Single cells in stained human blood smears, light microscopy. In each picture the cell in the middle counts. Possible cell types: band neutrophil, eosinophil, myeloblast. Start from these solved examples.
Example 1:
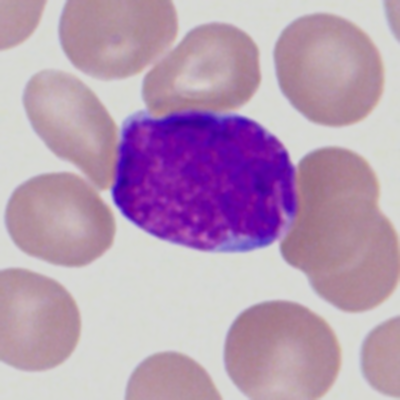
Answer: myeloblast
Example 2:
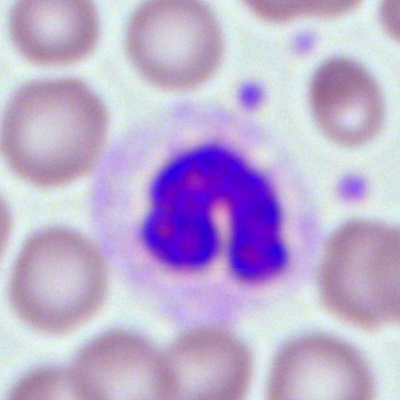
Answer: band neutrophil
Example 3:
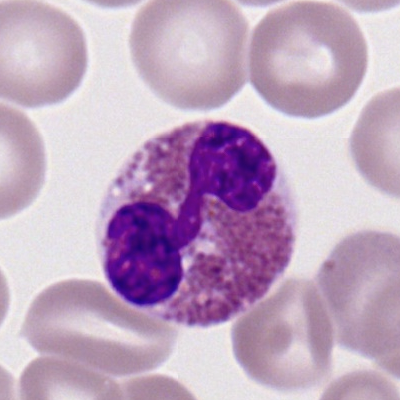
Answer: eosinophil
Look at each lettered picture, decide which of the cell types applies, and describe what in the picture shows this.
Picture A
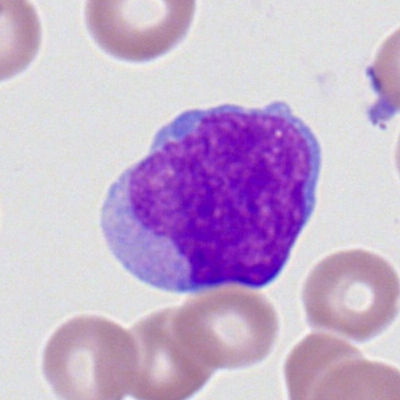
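myeloblast. The nucleus is a single unlobed mass that fills most of the cell.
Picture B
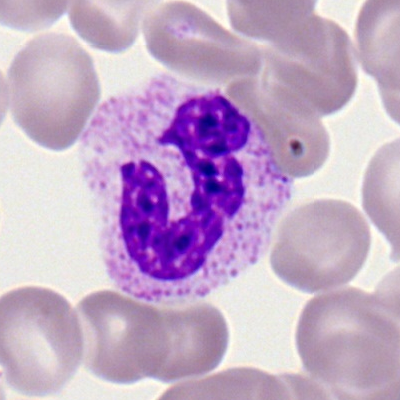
band neutrophil. The nucleus is a single thick curved band bent into a hook shape.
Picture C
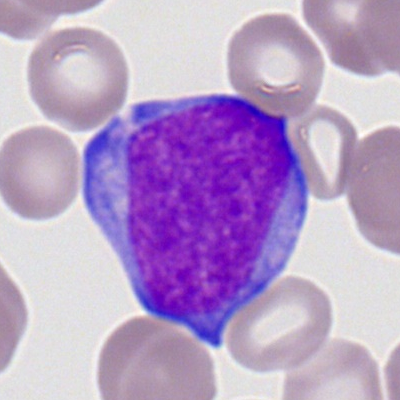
myeloblast. The nucleus is a single unlobed mass filling most of the cell.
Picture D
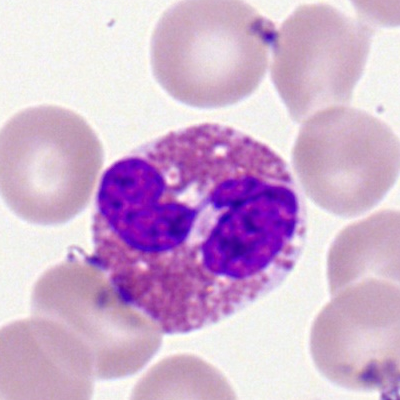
eosinophil. The nucleus is made of two lobes.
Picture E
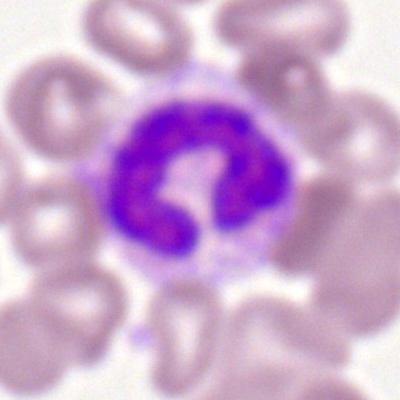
band neutrophil. The nucleus is a single thick curved band shaped like a horseshoe.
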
